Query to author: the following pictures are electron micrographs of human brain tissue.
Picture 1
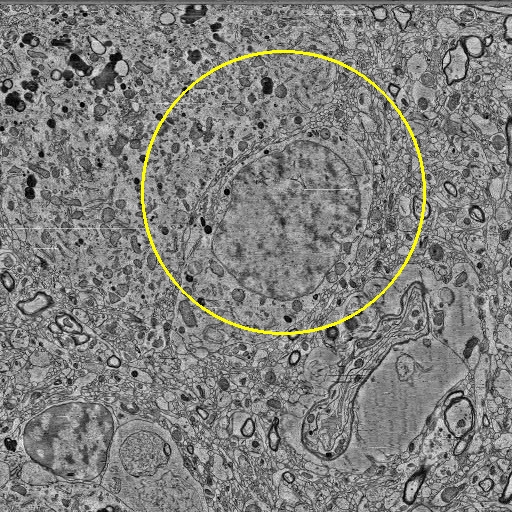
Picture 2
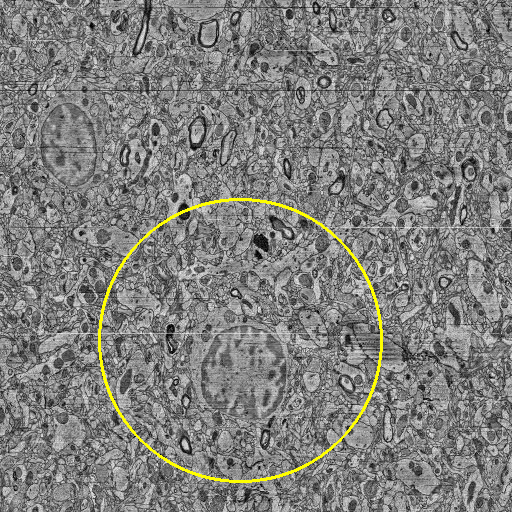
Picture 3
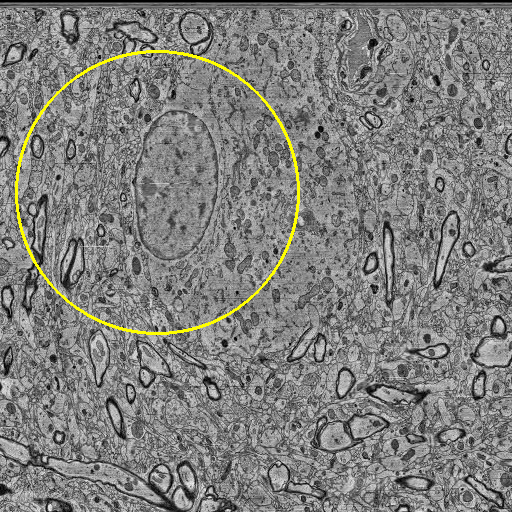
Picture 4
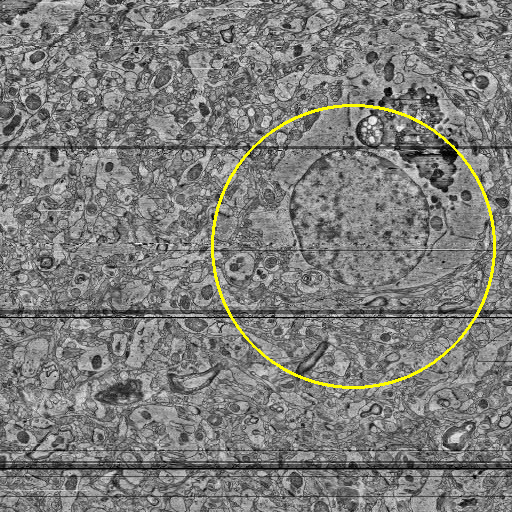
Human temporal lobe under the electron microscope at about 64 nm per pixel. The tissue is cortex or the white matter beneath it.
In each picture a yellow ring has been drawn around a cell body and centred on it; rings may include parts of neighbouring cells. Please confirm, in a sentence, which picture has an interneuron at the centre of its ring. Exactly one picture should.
Picture 1 has it at the centre of its ring.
